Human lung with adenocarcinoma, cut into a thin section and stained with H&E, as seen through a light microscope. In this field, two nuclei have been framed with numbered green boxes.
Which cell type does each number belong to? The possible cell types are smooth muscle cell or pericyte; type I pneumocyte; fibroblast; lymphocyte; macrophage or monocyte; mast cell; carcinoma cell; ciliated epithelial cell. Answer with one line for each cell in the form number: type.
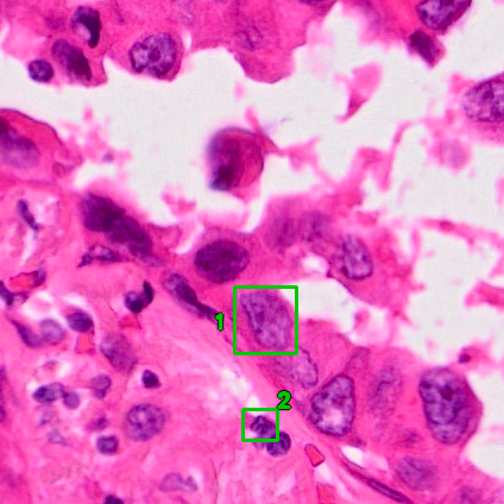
1: carcinoma cell
2: lymphocyte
